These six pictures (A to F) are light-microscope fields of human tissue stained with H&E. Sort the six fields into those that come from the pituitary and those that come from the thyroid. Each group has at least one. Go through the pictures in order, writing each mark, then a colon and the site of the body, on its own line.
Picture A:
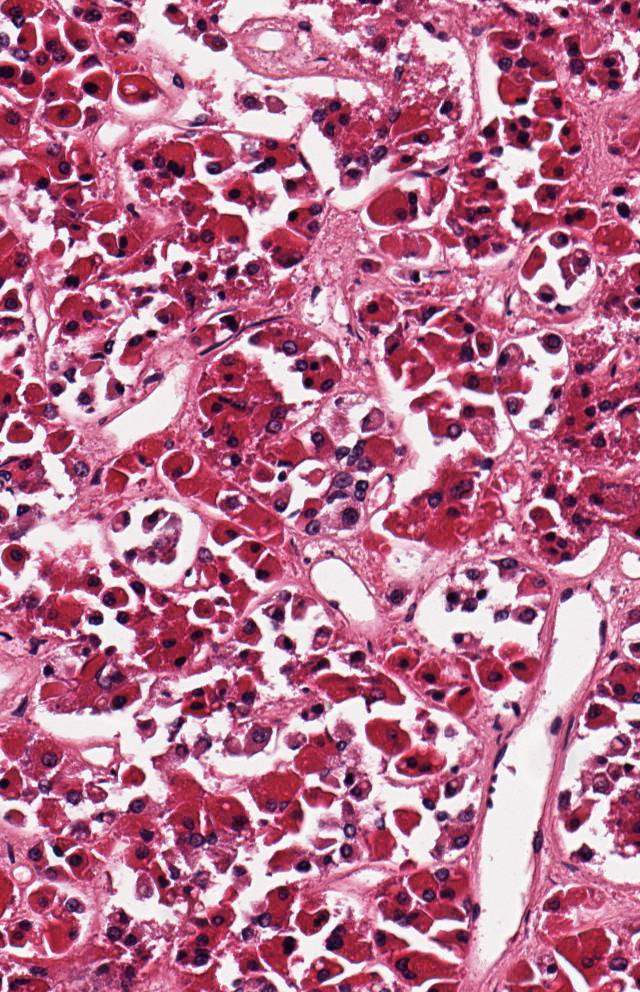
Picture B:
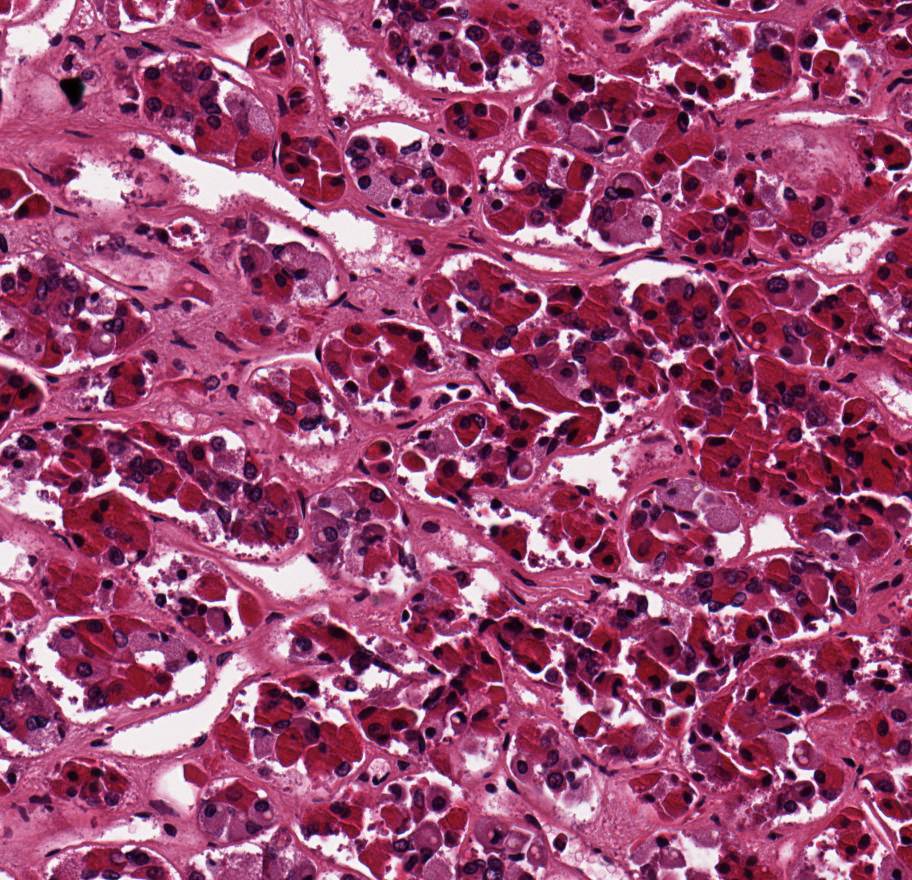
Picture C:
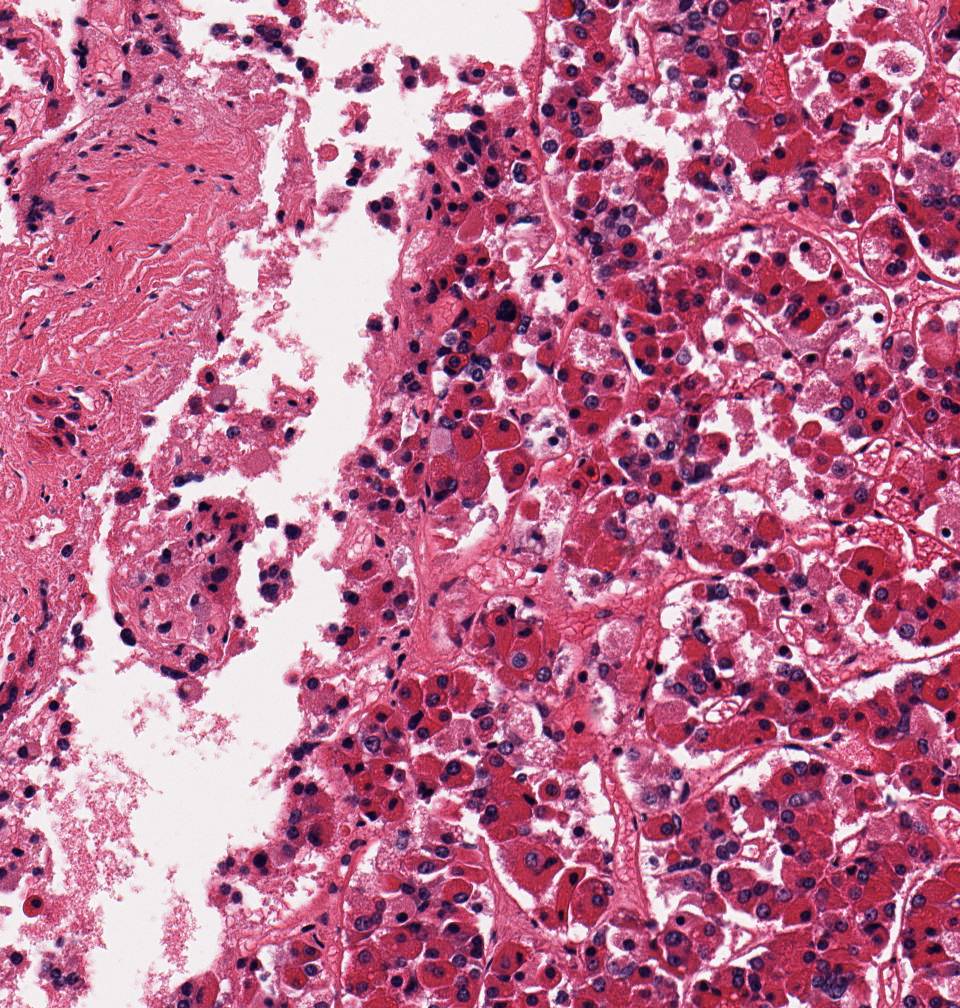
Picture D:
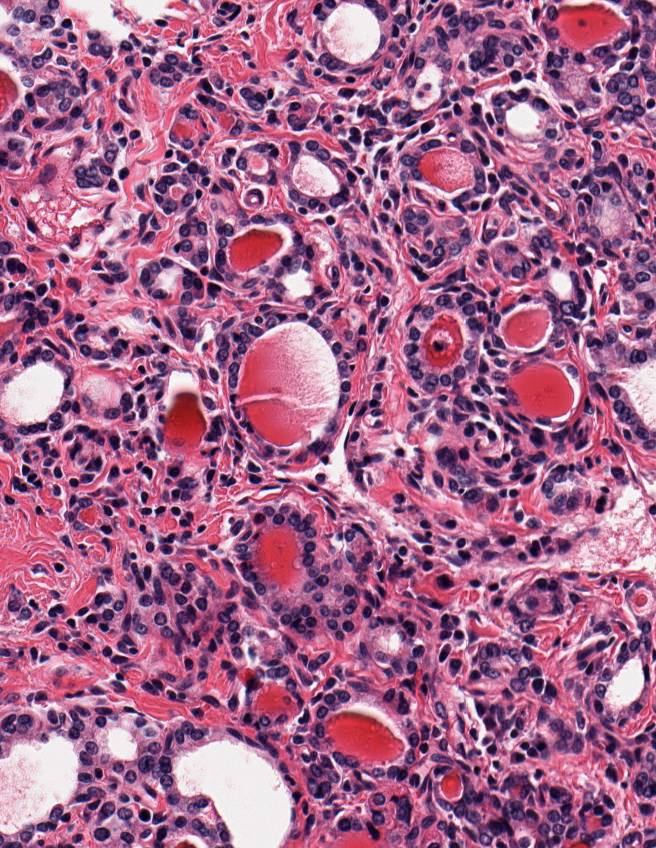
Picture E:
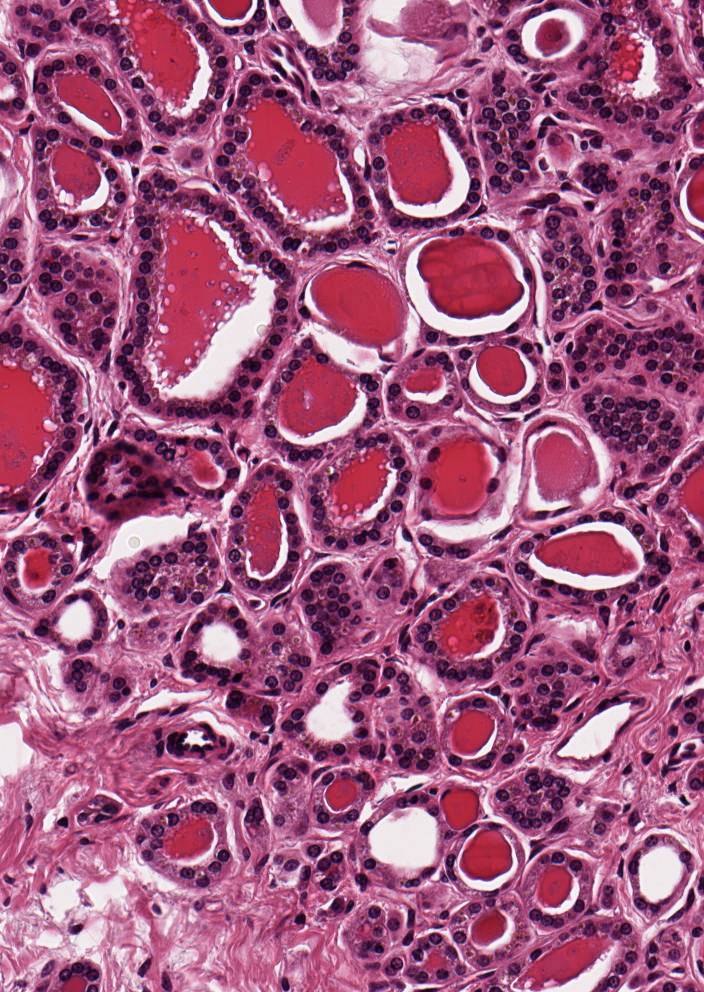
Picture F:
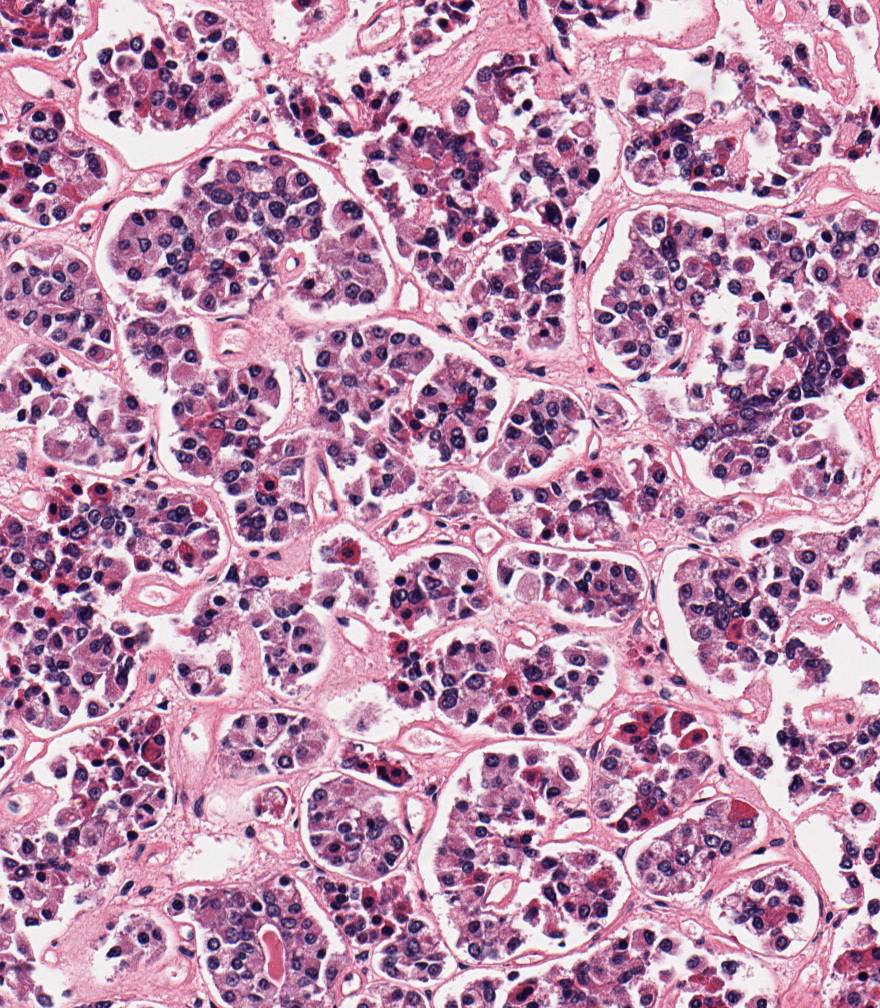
A: pituitary
B: pituitary
C: pituitary
D: thyroid
E: thyroid
F: pituitary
